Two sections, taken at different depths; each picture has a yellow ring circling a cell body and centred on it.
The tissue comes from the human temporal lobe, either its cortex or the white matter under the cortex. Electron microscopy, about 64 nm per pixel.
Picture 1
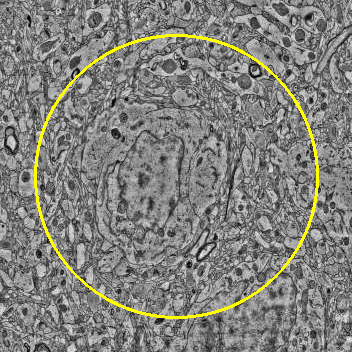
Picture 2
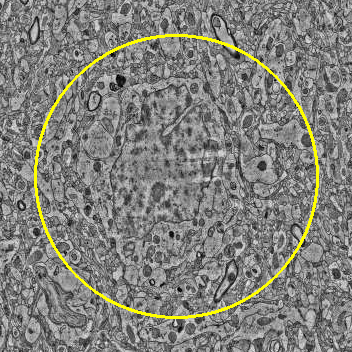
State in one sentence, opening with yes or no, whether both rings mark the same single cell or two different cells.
No, the rings mark separate cells, one per ring.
